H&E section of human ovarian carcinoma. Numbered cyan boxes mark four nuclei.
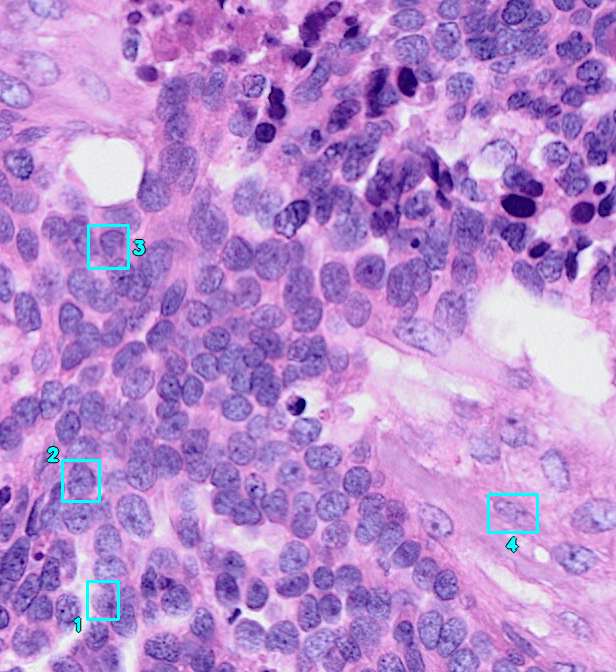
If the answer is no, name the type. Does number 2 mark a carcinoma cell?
Yes.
